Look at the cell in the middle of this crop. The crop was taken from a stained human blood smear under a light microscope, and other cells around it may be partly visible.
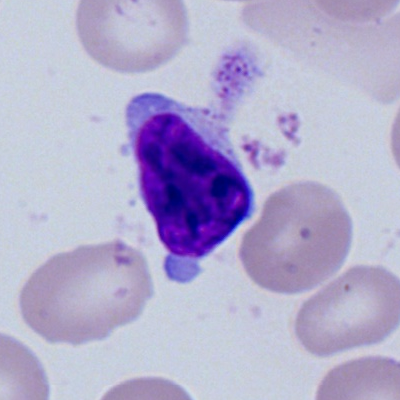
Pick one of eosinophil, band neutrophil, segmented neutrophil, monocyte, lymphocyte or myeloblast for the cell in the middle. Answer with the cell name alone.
lymphocyte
